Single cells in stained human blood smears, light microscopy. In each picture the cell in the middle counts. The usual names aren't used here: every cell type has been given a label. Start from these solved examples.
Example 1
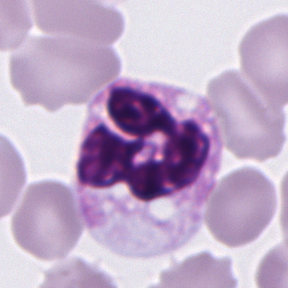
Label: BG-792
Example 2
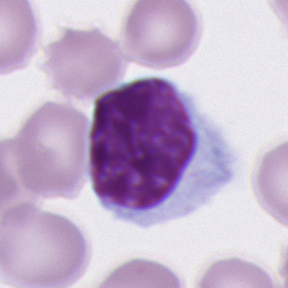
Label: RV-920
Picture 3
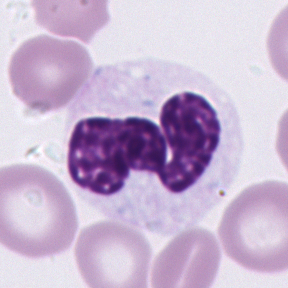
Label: BG-792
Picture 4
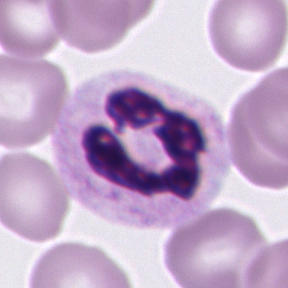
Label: BG-792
